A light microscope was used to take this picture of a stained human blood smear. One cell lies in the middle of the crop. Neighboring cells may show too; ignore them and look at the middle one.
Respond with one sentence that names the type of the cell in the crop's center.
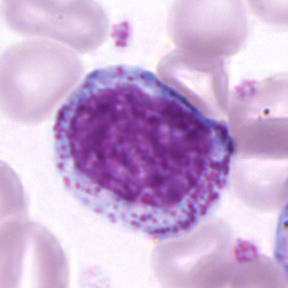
Here the cell in the middle is a promyelocyte.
